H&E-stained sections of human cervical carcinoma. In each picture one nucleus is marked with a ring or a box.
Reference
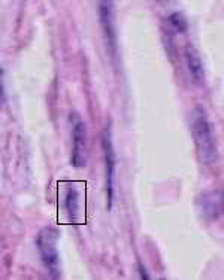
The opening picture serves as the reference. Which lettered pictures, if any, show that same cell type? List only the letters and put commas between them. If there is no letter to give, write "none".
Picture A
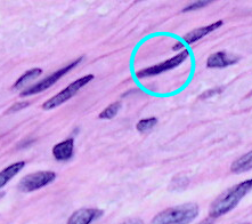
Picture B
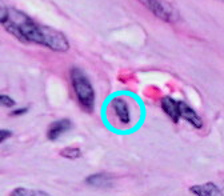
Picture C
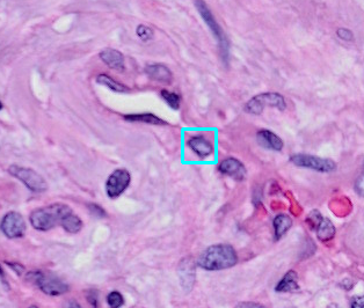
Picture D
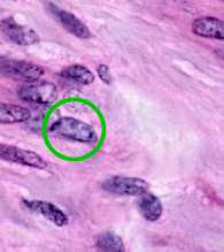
A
